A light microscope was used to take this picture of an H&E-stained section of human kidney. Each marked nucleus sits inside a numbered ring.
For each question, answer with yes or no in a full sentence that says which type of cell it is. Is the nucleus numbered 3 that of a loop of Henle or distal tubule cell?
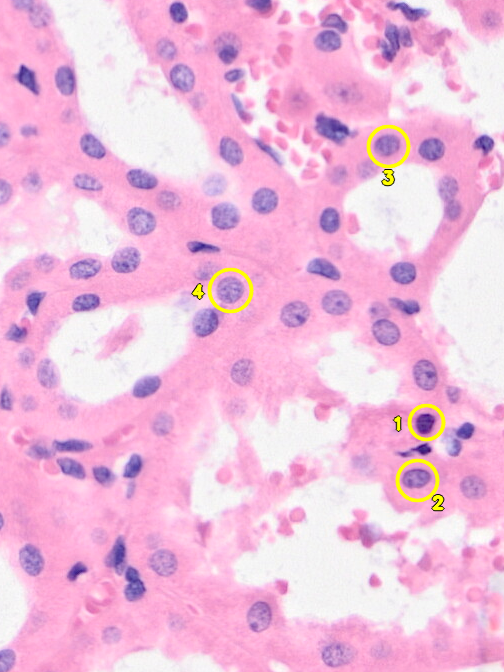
Yes, the one numbered 3 is a loop of Henle or distal tubule cell.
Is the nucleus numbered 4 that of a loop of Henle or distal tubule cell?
Yes, the marked cell with number 4 is a loop of Henle or distal tubule cell.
